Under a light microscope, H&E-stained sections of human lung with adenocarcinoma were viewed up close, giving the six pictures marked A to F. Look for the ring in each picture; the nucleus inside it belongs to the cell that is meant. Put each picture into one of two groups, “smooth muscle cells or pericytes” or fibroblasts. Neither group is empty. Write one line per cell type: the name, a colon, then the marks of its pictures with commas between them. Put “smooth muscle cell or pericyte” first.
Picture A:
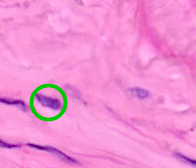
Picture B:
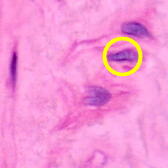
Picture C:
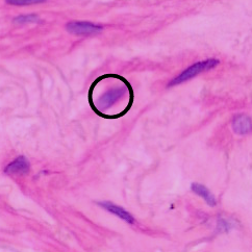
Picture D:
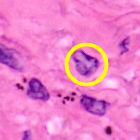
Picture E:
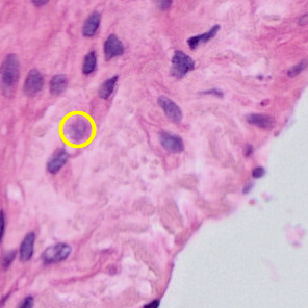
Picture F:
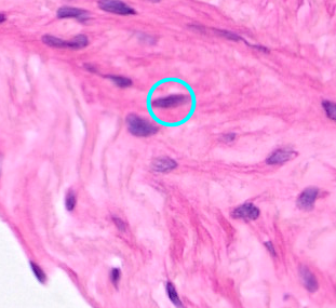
smooth muscle cell or pericyte: B, C, E, F
fibroblast: A, D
